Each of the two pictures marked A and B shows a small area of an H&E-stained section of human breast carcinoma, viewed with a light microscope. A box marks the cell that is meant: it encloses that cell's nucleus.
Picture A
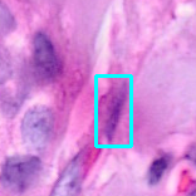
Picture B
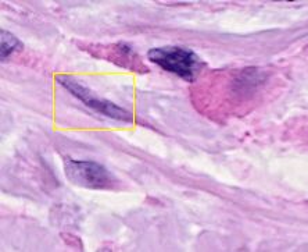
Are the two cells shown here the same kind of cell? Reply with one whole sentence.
No; the cell in picture A is an endothelial cell, while the one in picture B is a fibroblast.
